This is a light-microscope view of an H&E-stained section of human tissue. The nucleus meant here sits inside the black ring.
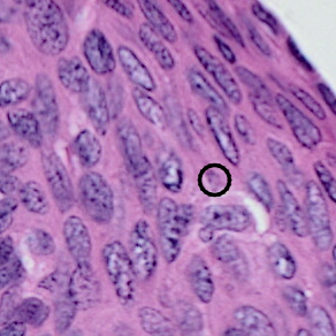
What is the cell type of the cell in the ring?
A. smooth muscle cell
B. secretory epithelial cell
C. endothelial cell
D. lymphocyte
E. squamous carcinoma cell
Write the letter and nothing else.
E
